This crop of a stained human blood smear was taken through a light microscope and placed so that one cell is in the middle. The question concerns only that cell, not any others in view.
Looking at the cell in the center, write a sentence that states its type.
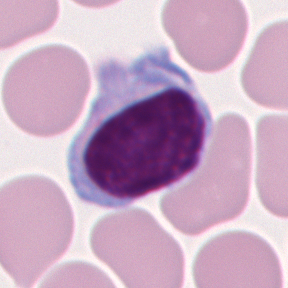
In the central position of this crop, the cell is a lymphocyte.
